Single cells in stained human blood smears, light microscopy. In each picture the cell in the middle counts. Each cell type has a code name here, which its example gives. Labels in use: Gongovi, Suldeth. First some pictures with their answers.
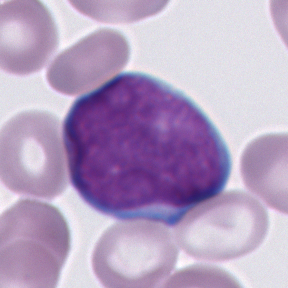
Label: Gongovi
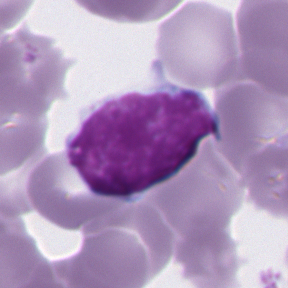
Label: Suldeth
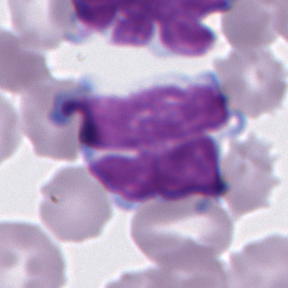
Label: Suldeth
